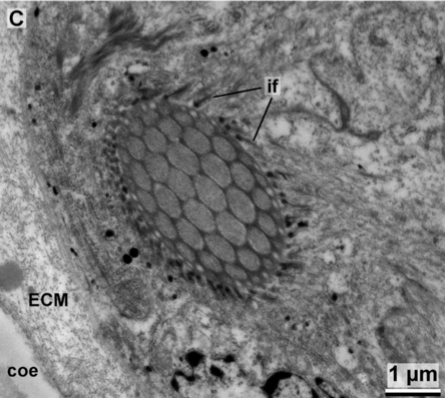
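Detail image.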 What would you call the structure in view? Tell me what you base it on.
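A large oval structure lies in the centre of the image. Its interior is divided into many regular polygonal canals, like a honeycomb. It is surrounded by a dark-rimmed outline. That points to this answer: chaeta.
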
